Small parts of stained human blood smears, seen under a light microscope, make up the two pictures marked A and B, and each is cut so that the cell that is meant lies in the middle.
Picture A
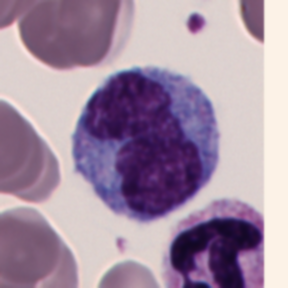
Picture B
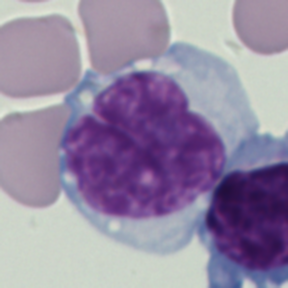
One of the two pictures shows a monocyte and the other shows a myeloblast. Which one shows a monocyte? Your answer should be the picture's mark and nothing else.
A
